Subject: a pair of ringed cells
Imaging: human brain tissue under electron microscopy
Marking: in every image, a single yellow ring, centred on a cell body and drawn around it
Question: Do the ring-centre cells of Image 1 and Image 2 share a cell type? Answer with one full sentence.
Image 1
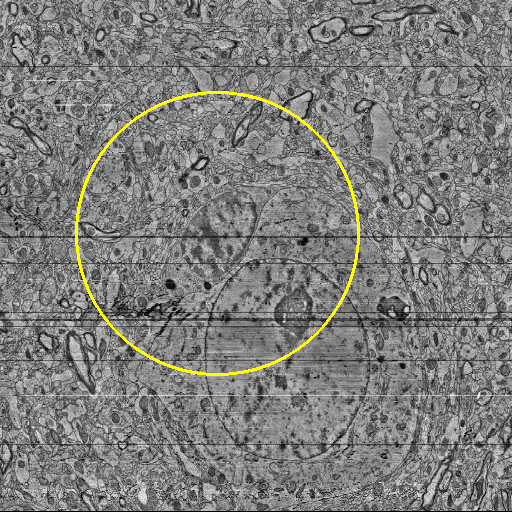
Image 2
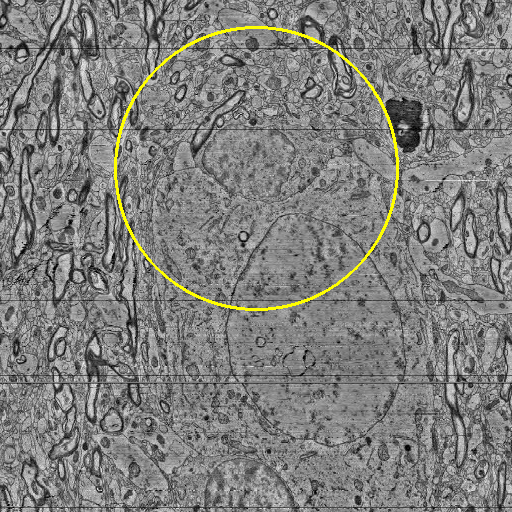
Yes, at each ring's centre in the images sits a cell of one common type.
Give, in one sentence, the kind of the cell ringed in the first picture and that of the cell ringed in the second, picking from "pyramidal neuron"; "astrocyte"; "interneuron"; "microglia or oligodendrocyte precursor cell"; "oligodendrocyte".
In each of the two pictures, the ringed cell is an oligodendrocyte.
